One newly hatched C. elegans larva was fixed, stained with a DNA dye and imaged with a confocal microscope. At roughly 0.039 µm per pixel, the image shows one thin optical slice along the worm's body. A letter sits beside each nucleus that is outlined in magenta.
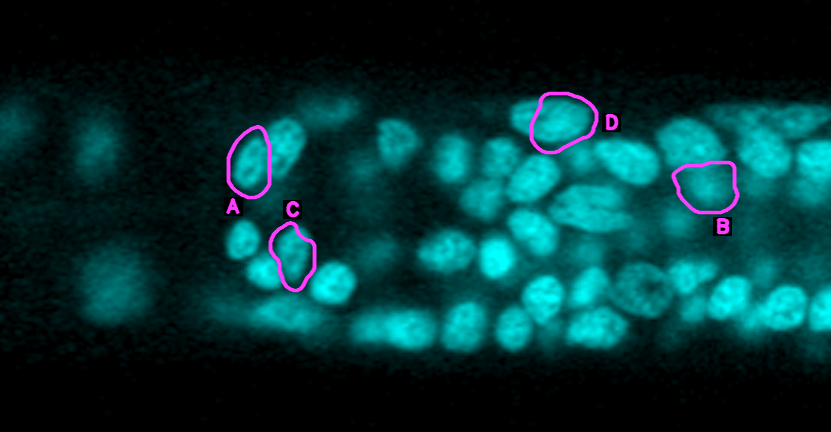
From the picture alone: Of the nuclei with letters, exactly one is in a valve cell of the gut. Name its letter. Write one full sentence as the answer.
The one from a valve cell of the gut is A.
